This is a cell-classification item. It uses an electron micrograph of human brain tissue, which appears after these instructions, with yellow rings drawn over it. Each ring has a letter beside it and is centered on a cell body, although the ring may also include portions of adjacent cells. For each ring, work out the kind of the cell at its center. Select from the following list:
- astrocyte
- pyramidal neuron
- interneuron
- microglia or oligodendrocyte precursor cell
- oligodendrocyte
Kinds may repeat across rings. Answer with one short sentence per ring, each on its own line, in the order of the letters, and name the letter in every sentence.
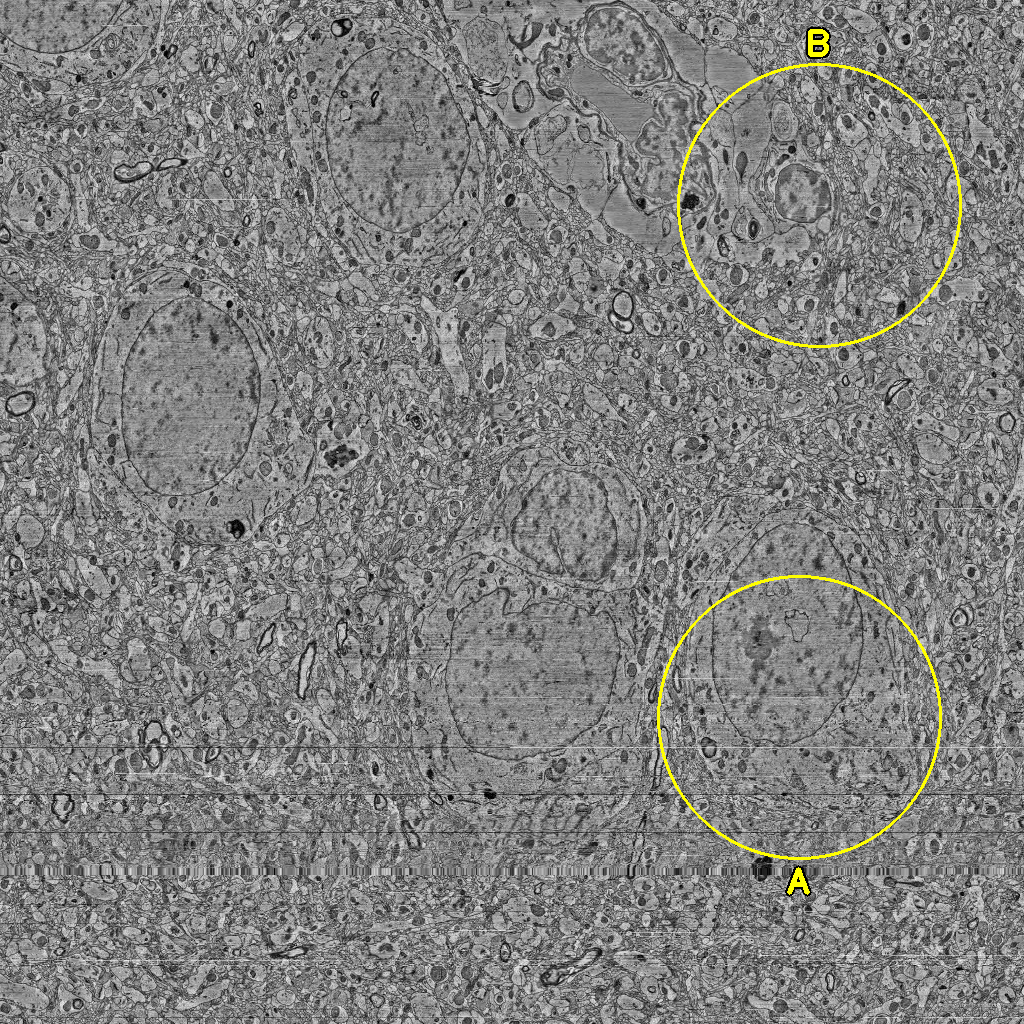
Ring A has a pyramidal neuron at its center.
Ring B has a microglial cell or oligodendrocyte precursor cell at its center.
